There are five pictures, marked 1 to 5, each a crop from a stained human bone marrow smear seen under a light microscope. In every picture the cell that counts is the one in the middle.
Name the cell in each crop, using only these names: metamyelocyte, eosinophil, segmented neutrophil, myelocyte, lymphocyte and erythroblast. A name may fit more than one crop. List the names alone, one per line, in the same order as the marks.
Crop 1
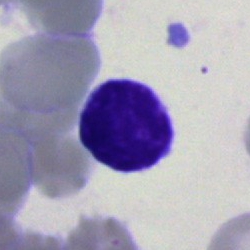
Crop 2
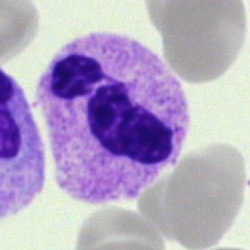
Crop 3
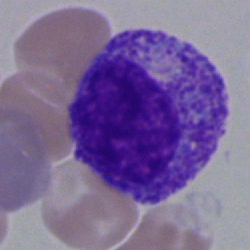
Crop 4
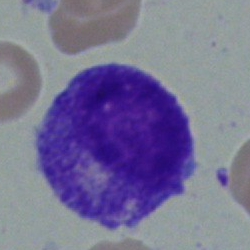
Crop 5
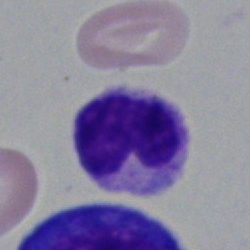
lymphocyte
segmented neutrophil
myelocyte
myelocyte
metamyelocyte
